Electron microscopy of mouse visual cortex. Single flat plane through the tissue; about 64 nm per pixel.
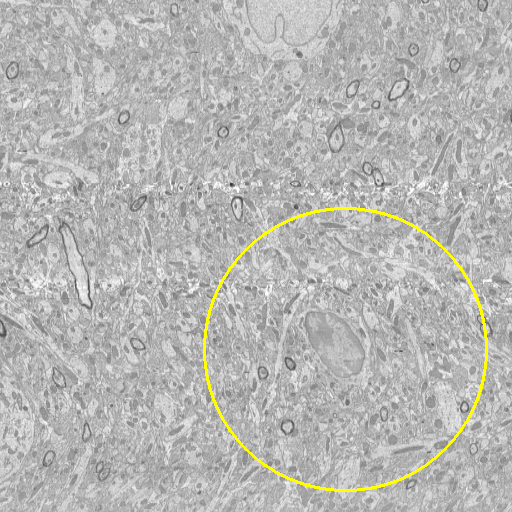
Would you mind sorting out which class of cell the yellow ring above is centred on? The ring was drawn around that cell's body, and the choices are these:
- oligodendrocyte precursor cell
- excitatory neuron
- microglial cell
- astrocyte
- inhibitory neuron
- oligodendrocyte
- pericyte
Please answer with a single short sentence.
This is the cell body of a microglial cell.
